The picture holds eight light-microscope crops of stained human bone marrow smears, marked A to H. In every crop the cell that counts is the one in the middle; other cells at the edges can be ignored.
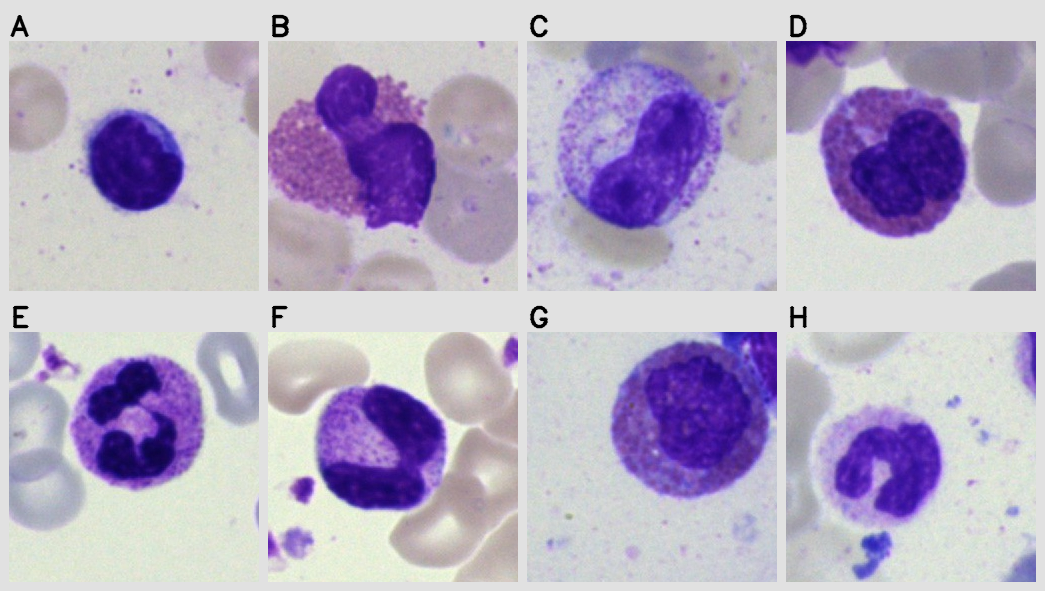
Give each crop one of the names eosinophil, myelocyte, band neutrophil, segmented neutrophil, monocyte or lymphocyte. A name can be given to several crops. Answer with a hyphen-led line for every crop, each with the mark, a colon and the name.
- A: lymphocyte
- B: eosinophil
- C: myelocyte
- D: eosinophil
- E: segmented neutrophil
- F: band neutrophil
- G: eosinophil
- H: band neutrophil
